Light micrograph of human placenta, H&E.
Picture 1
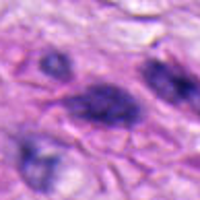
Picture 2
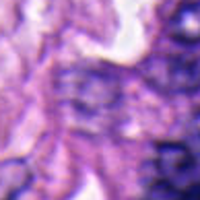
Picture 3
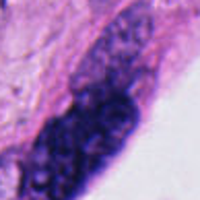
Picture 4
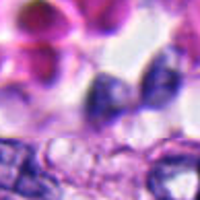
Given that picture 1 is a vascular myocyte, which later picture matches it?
4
